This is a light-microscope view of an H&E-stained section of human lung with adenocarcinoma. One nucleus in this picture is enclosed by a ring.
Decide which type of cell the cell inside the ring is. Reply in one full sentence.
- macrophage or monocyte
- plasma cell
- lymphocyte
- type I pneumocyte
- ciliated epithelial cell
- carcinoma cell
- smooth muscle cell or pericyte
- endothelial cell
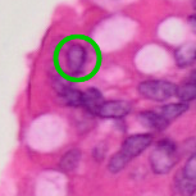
The cell inside the ring is a ciliated epithelial cell.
